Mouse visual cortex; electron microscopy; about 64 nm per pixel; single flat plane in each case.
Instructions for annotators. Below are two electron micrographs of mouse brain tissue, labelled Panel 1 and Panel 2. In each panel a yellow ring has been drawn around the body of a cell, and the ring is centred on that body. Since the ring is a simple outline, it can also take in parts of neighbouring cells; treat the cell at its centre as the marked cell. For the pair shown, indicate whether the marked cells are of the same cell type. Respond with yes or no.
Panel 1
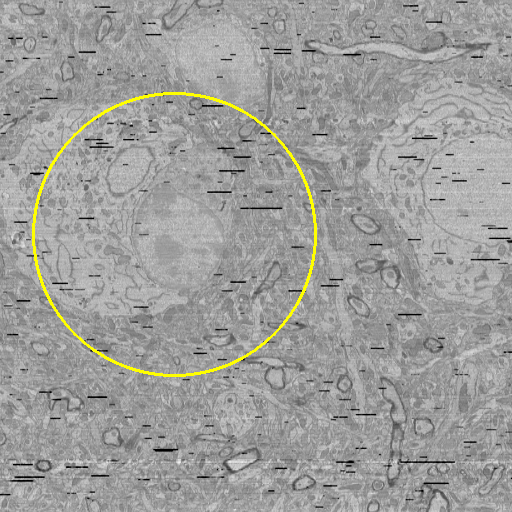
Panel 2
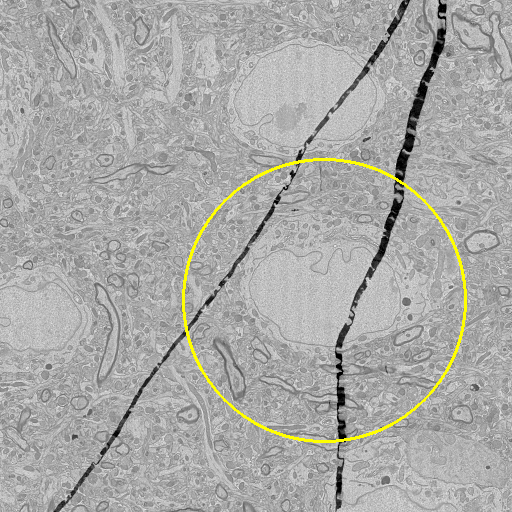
no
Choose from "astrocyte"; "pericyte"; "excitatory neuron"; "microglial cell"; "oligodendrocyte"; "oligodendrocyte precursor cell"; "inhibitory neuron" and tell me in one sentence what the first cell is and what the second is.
What the first ring is centred on is an oligodendrocyte; what the second ring is centred on is an excitatory neuron.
